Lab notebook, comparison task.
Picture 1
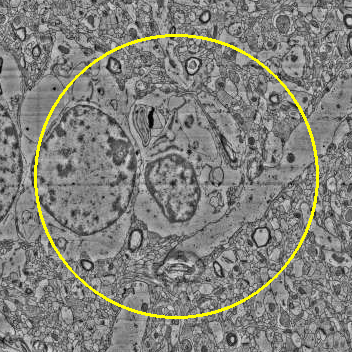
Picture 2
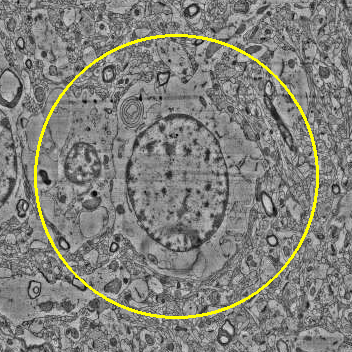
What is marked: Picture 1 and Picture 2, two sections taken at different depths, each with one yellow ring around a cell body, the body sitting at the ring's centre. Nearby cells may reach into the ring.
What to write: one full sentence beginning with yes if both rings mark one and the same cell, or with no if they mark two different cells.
Yes, the marked cell is the same in both rings.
